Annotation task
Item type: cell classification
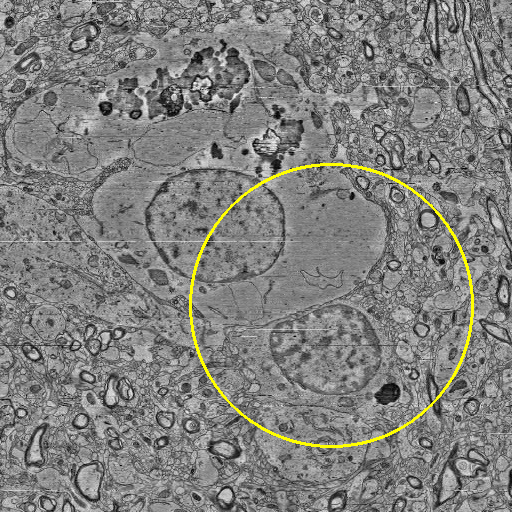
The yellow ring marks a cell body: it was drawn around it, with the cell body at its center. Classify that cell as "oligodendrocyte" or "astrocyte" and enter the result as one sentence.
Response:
The ring's center falls on an oligodendrocyte.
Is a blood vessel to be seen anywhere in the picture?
Yes, the picture includes a blood vessel.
